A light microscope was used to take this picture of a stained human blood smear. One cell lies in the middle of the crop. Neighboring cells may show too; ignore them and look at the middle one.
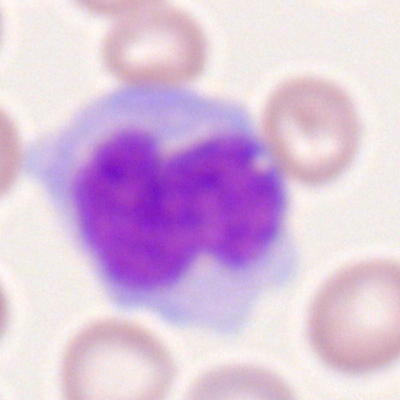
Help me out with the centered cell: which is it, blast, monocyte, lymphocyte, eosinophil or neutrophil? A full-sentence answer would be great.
The cell in the middle of this crop is a monocyte.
